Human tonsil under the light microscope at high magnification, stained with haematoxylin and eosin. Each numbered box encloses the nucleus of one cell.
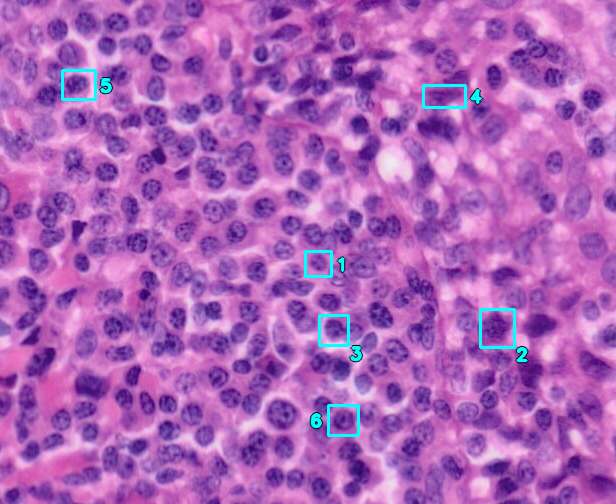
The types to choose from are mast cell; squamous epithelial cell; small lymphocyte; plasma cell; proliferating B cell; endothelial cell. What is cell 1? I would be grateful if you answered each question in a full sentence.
The cell referred to as 1 is a plasma cell.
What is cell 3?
Classified as a plasma cell is the cell with the number 3.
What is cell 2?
The marked cell bearing number 2 is a squamous epithelial cell.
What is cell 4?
The one numbered 4 among the marked cells is a squamous epithelial cell.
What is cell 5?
The cell given label 5 is a plasma cell.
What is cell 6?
In this section, the cell tagged 6 is a plasma cell.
